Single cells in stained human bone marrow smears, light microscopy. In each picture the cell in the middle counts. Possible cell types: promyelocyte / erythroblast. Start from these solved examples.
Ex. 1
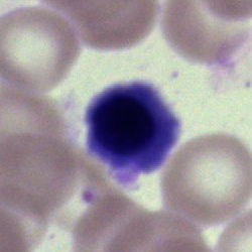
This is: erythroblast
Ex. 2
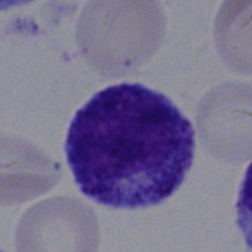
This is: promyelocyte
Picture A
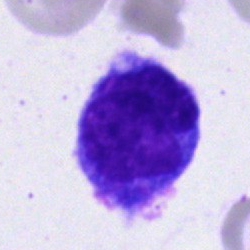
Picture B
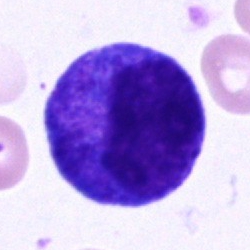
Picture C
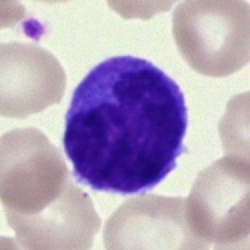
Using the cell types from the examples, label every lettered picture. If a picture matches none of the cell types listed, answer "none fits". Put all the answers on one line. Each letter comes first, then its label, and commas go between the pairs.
A none fits, B promyelocyte, C none fits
